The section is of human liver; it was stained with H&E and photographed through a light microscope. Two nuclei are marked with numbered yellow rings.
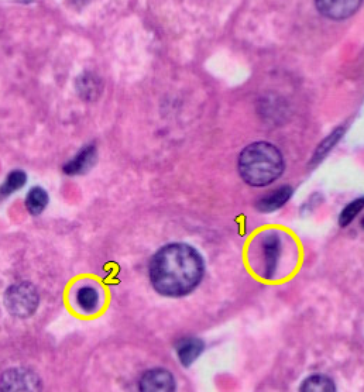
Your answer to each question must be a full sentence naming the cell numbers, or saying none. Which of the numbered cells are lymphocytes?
Only the cell numbered 2 is a lymphocyte, and the others are something else.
